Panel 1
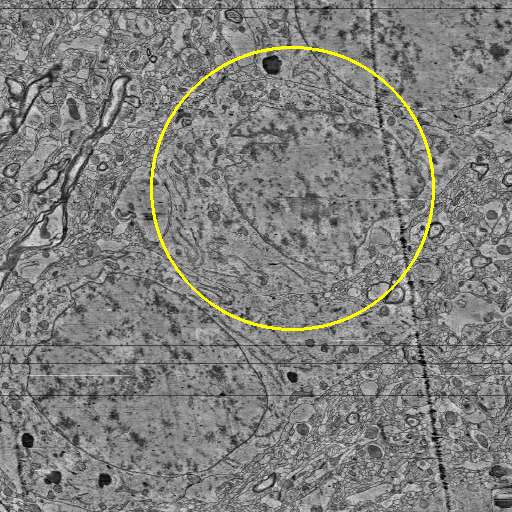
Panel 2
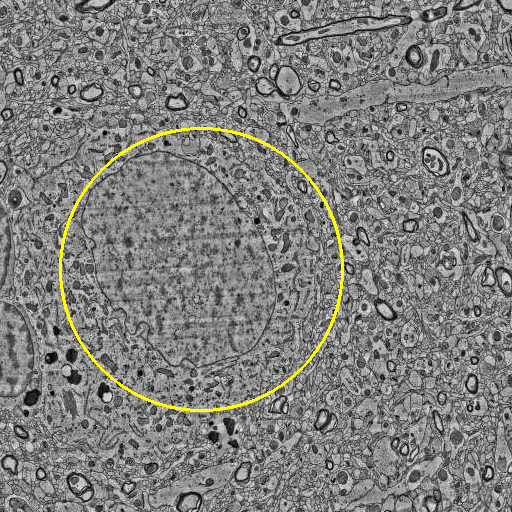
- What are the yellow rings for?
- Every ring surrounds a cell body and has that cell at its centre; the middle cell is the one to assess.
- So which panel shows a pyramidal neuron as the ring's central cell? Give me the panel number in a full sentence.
The panel whose ring is centred on the cell in question is panel 2.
